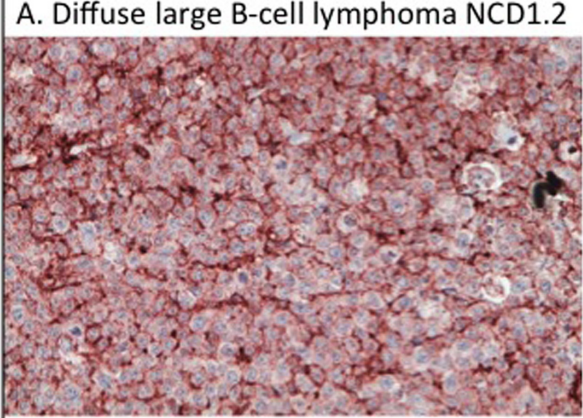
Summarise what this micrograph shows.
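Brown staining outlines the borders of most cells, with darker brown strands running between them, while the round to oval nuclei are pale blue. Scattered larger pale cells with more abundant cytoplasm lie among the stained cells.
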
